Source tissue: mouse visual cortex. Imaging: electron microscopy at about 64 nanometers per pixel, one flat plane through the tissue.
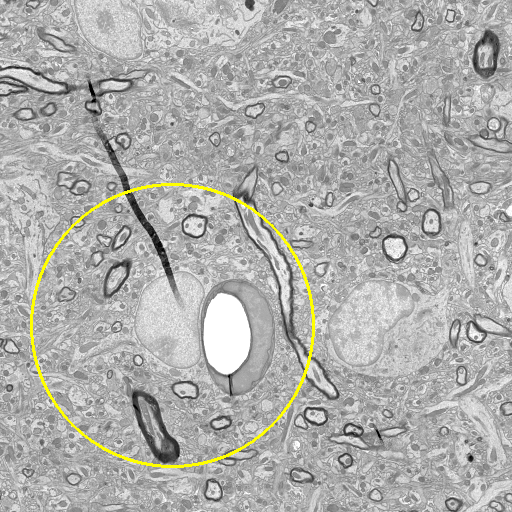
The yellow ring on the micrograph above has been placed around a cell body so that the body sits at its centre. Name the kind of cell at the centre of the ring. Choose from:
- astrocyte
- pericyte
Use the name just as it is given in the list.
astrocyte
